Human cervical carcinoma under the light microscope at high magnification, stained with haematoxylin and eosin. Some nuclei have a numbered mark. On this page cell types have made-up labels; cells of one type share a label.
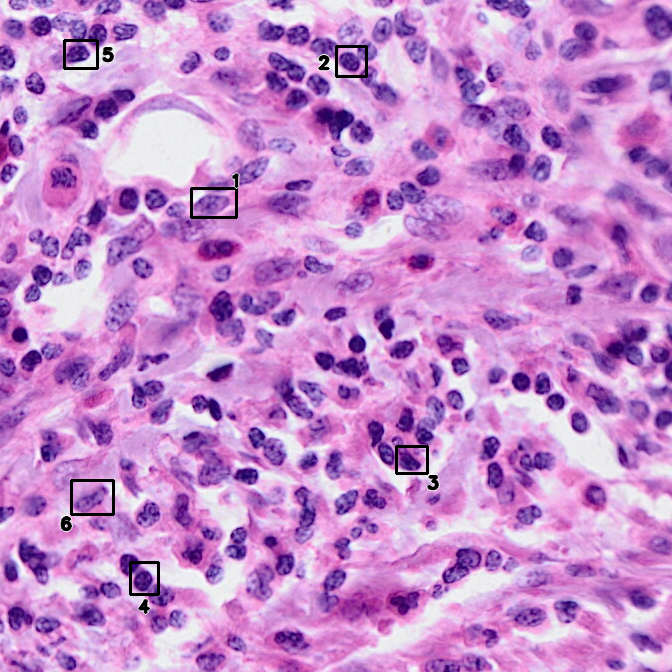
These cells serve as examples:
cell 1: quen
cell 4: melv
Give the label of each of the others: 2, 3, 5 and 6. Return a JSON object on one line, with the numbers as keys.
{"2": "melv", "3": "melv", "5": "melv", "6": "quen"}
